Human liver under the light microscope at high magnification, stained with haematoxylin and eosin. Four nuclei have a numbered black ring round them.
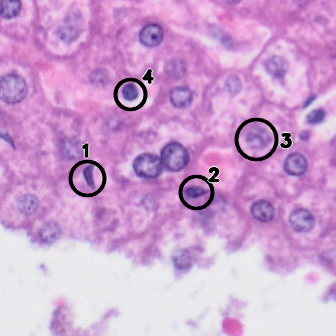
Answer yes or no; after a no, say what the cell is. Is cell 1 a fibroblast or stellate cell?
No, it is an endothelial cell.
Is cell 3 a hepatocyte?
Yes.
